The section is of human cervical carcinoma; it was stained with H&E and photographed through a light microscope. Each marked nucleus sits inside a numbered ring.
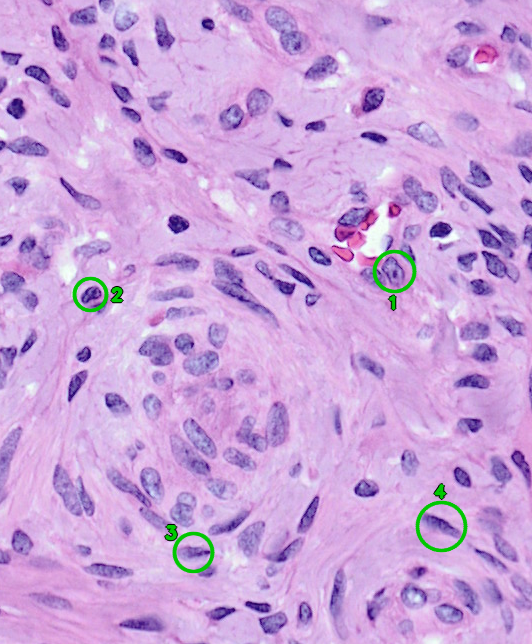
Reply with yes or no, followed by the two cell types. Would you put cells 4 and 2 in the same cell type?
No, cell 4 is a fibroblast and cell 2 is a lymphocyte.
